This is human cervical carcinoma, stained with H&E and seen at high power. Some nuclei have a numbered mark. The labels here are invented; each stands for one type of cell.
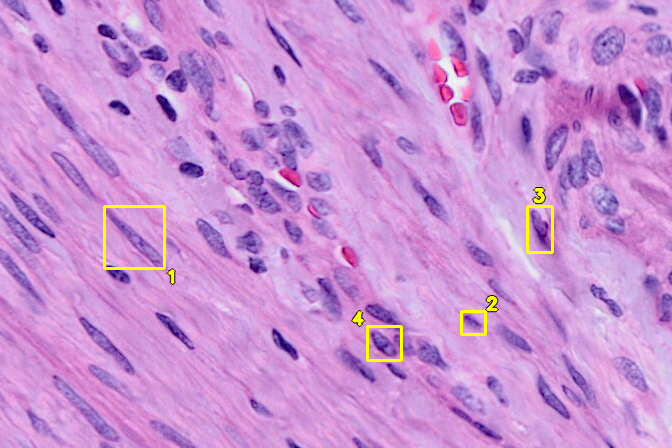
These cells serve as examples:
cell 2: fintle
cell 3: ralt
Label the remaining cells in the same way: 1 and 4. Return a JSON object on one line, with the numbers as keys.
{"1": "fintle", "4": "fintle"}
